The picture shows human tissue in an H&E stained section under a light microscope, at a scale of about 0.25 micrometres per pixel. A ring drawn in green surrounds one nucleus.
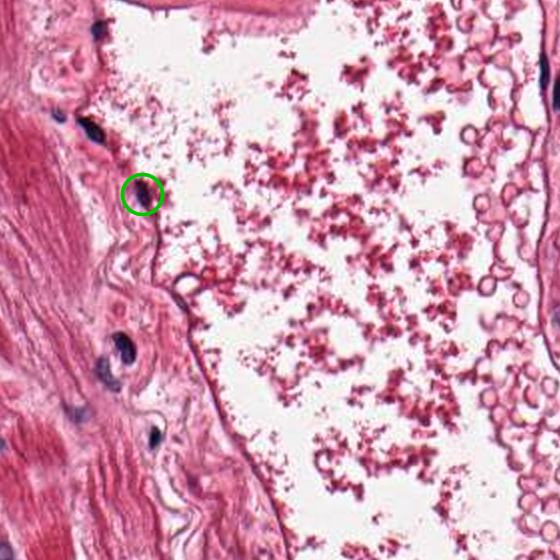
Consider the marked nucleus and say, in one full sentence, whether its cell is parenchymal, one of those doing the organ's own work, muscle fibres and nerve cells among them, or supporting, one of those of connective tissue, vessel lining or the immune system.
Belonging to a supporting cell is the nucleus that is marked.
